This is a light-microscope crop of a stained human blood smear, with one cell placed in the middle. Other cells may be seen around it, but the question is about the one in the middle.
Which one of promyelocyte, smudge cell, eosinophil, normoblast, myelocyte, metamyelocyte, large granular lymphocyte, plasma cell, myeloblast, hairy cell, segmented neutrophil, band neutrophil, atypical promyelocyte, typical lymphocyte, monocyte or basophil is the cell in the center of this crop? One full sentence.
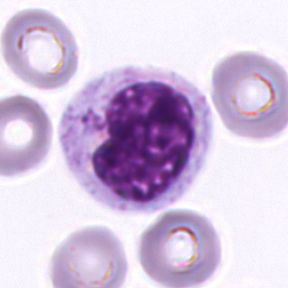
The cell occupying the middle of the crop is a metamyelocyte.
